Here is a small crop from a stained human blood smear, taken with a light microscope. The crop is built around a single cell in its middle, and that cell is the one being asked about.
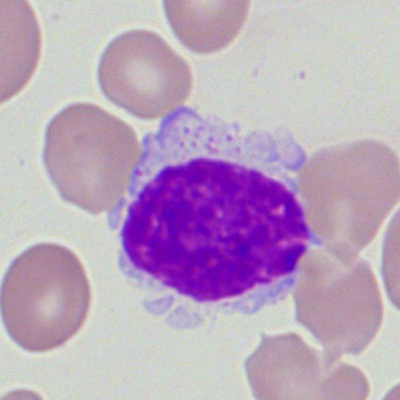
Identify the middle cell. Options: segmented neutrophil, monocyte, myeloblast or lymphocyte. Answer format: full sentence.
Centrally within this crop lies a lymphocyte.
